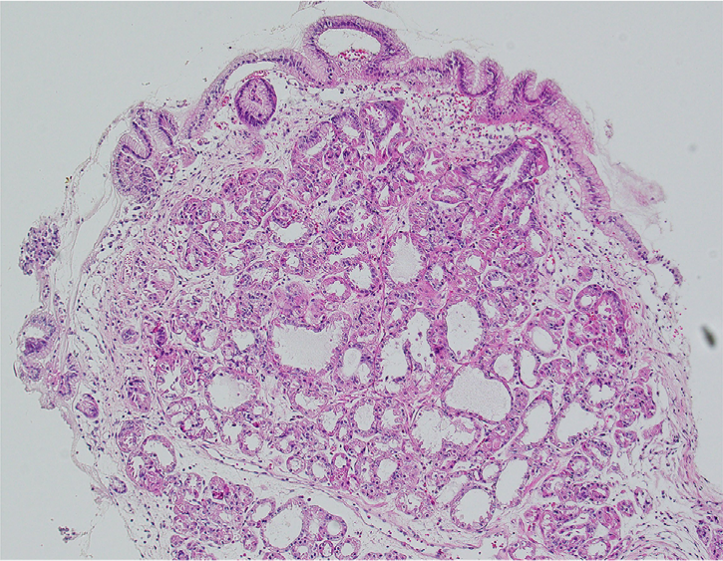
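This is a small biopsy fragment of stomach mucosa stained pink and purple. Along the top runs a single layer of tall columnar surface epithelium folded into shallow pits, with a few red blood cells just beneath it. Below lies a tightly packed field of glands lined by cells with pink cytoplasm and small dark nuclei. A number of these glands are somewhat widened, with open pale lumens, set in a thin, loose pink stroma.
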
